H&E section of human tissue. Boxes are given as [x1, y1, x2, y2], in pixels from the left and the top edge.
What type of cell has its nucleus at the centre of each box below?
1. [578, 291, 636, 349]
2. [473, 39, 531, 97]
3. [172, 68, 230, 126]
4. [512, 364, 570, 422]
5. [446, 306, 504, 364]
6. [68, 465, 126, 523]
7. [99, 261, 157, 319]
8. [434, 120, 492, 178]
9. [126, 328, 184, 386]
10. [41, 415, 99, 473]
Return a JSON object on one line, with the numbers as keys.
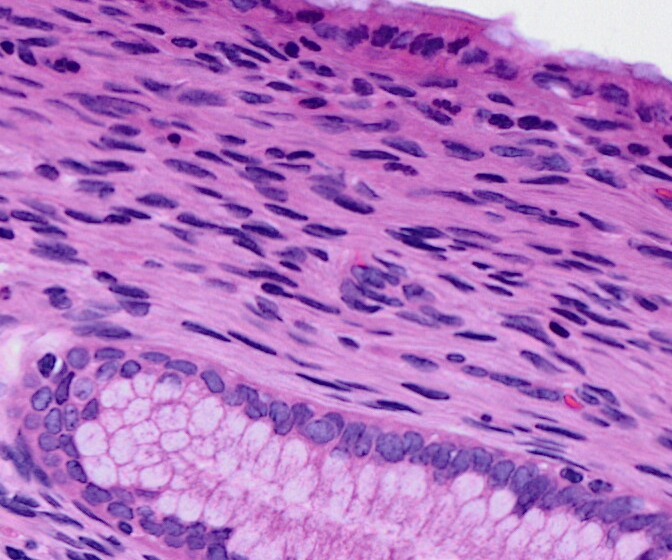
{"1": "fibroblast", "2": "secretory epithelial cell", "3": "fibroblast", "4": "endothelial cell", "5": "fibroblast", "6": "secretory epithelial cell", "7": "fibroblast", "8": "endothelial cell", "9": "secretory epithelial cell", "10": "secretory epithelial cell"}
